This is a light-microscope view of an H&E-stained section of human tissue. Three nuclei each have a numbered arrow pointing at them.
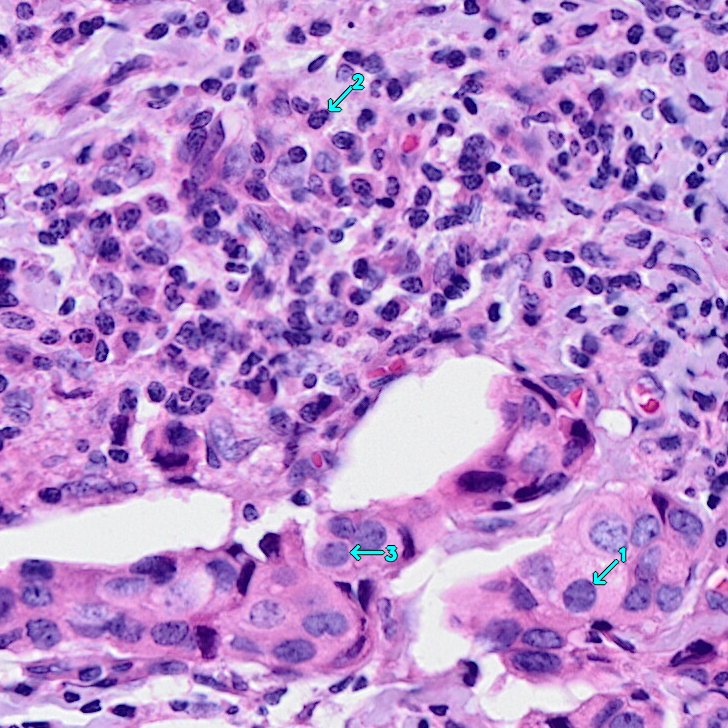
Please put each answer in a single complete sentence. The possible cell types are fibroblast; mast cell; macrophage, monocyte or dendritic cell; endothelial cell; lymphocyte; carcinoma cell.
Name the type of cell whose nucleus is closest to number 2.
The nucleus nearest to number 2 is that of a lymphocyte.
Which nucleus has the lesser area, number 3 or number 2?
The smaller nucleus is 2, and 3 covers roughly 2 times its area.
